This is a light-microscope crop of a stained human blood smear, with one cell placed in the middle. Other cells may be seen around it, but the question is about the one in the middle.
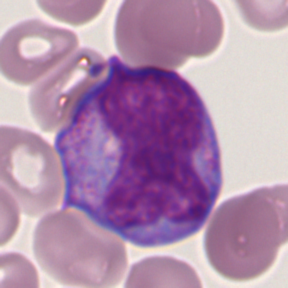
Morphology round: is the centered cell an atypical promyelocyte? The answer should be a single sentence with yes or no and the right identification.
Yes, as regards the cell in the middle, it is an atypical promyelocyte.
